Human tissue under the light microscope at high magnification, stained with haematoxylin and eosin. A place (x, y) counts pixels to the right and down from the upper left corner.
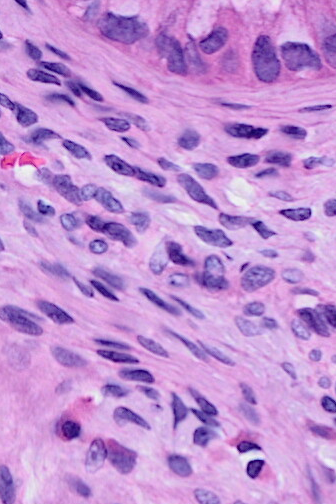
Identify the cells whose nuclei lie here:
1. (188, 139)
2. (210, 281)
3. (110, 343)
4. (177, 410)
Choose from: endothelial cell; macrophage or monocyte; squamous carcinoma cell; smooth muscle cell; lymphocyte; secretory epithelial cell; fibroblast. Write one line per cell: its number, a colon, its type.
1: fibroblast
2: endothelial cell
3: fibroblast
4: fibroblast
